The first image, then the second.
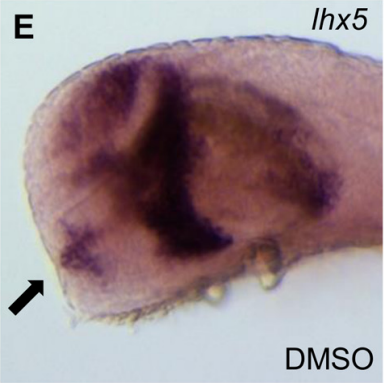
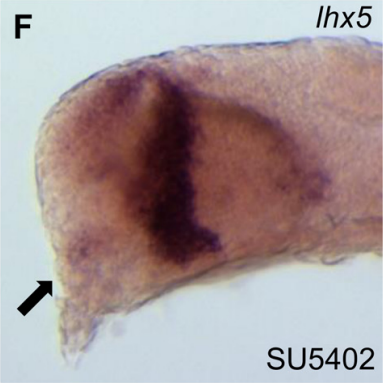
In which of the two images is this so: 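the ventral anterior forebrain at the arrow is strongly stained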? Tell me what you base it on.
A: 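Second image: only faint purple staining at the arrowed ventral forebrain. First image: a distinct dark purple patch at the arrowed ventral forebrain.
Answer: the first image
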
